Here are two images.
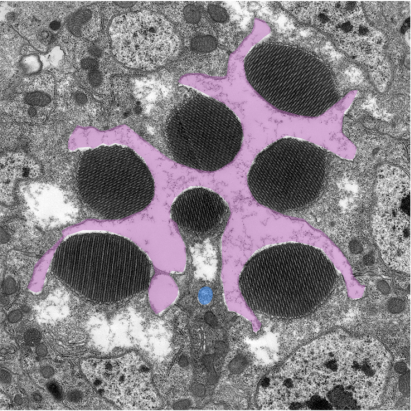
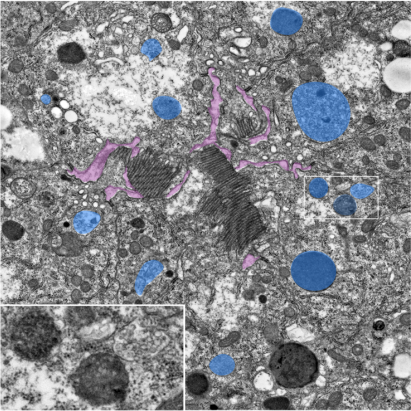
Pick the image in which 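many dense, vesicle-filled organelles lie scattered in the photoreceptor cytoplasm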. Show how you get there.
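Second image: about a dozen blue-tinted round organelles of various sizes are scattered around the rhabdomeres. First image: only one small blue-tinted organelle is present.
The second image.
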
